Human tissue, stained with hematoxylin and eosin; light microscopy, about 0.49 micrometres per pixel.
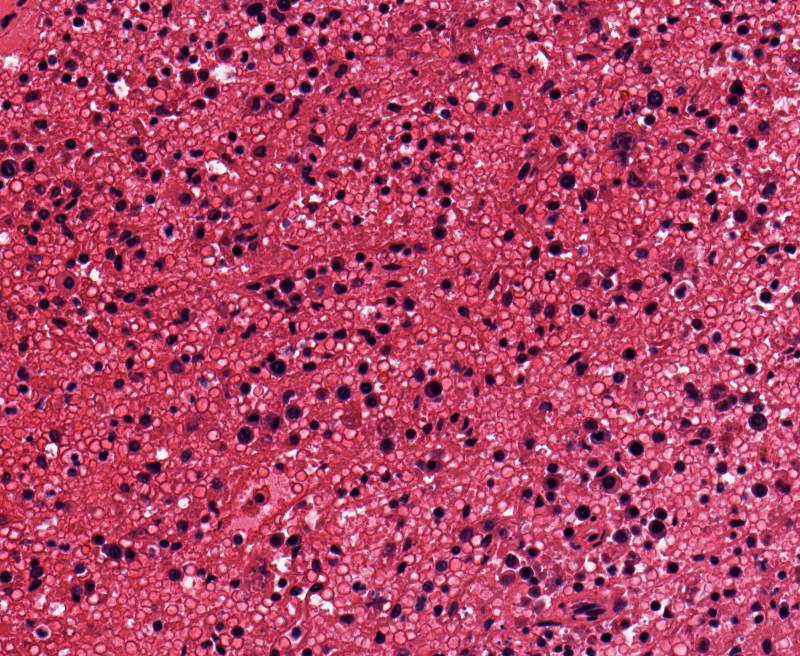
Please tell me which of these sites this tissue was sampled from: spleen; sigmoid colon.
spleen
